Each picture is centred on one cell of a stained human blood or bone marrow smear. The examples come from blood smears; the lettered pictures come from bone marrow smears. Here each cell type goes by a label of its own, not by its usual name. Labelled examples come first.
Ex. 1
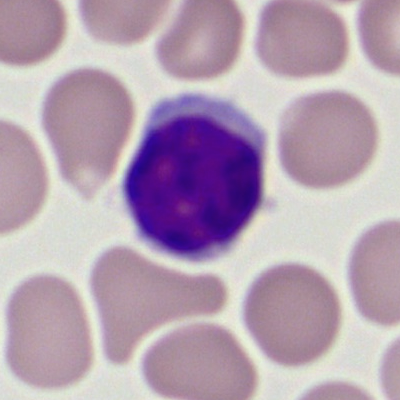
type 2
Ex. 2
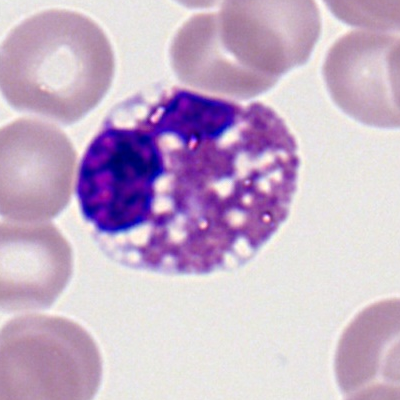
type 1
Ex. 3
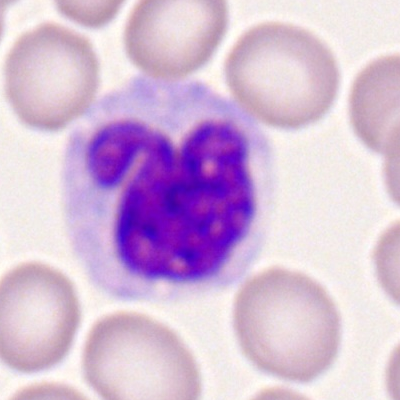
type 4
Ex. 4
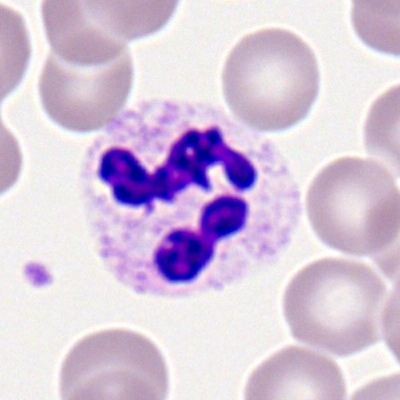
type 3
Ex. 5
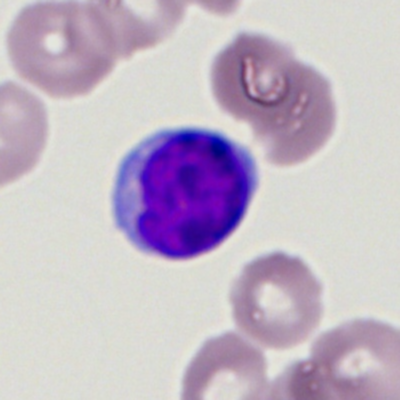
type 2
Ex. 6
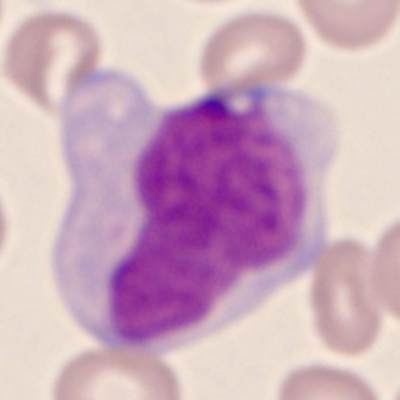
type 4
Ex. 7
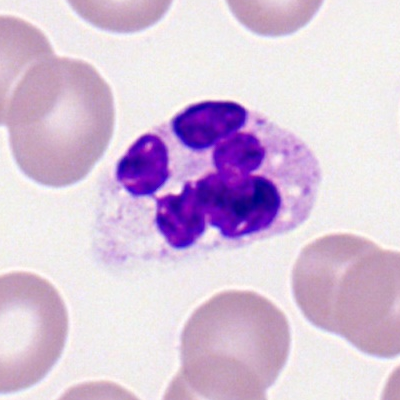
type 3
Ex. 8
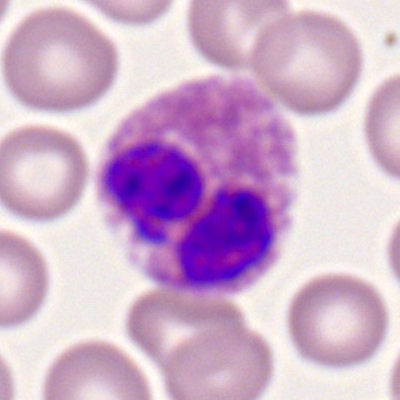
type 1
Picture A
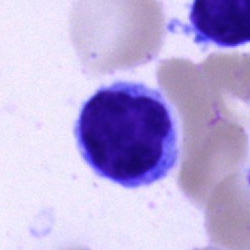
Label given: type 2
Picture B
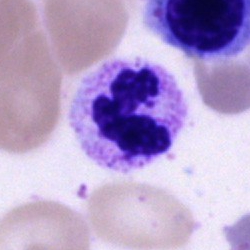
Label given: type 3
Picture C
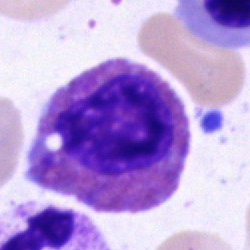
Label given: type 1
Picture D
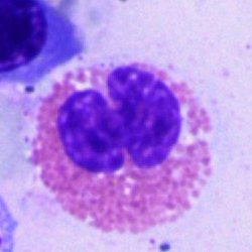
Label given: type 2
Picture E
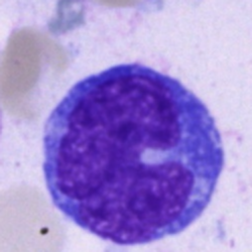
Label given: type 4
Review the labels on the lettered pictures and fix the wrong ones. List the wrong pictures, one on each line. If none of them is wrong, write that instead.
D: type 1, not type 2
